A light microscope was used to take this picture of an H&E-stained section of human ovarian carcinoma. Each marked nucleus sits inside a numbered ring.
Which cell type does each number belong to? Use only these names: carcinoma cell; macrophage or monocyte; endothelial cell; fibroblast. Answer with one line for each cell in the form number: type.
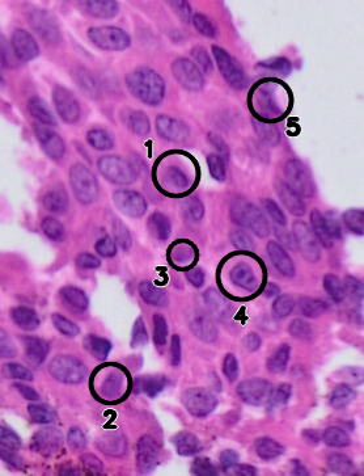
1: carcinoma cell
2: carcinoma cell
3: macrophage or monocyte
4: macrophage or monocyte
5: carcinoma cell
